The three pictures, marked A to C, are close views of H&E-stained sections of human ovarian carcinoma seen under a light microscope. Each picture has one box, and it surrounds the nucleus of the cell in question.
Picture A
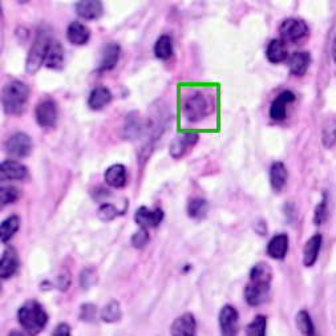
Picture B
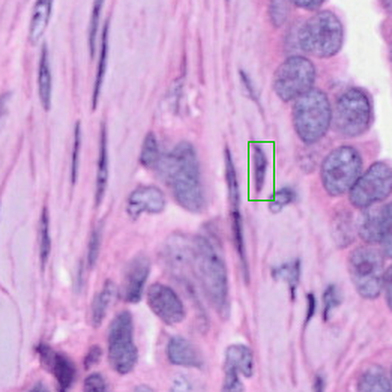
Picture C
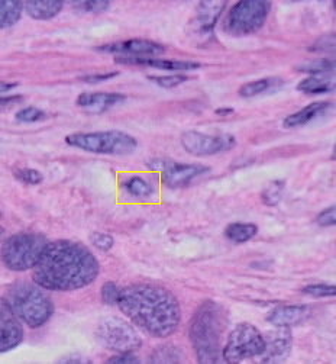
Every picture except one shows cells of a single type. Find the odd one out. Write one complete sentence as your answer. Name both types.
Unlike the rest, which show fibroblasts, picture A shows a “macrophage or monocyte”.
